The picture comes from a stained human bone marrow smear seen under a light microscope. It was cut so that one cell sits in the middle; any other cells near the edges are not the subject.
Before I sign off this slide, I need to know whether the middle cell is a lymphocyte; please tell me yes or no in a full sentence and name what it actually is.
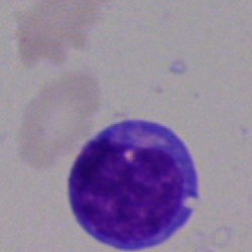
No, the centred cell is a blast, and it is not a lymphocyte.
